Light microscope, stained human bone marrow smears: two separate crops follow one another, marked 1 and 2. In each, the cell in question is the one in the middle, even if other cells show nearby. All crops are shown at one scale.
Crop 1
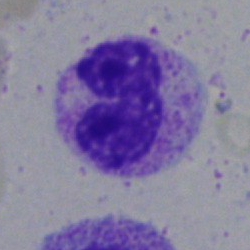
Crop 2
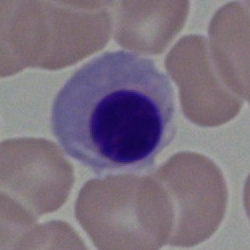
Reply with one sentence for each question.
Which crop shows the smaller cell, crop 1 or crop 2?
Smaller is the cell in crop 2, and the other is about 1.5 times as large in area.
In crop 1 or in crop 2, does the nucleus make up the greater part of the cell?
In crop 1 the nucleus takes up the larger part of its cell.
